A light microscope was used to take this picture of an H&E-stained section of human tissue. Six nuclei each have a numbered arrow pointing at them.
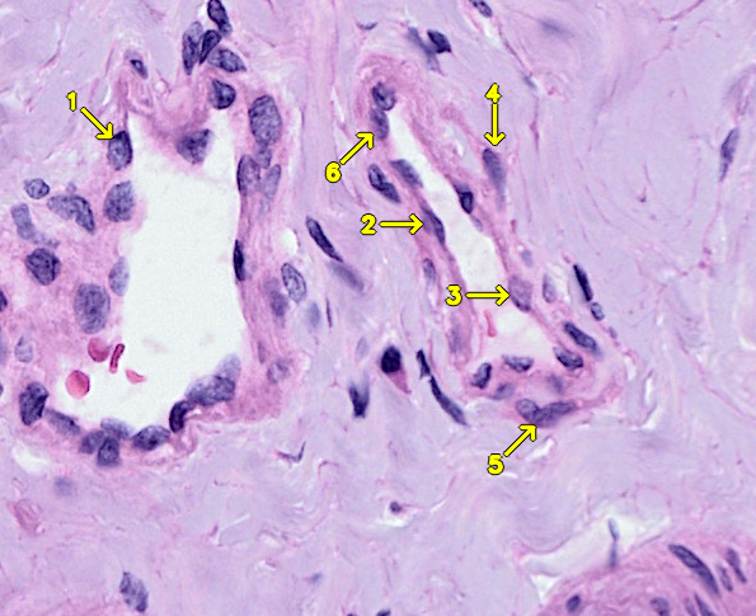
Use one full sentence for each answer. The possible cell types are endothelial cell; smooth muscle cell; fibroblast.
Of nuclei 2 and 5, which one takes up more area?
It is nucleus 5, which covers about 2 times the area of nucleus 2.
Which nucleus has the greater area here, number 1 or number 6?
The larger nucleus is 1, at roughly 2 times the area of 6.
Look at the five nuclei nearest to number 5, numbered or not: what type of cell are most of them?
Of the five nuclei nearest to number 5, most belong to endothelial cells.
